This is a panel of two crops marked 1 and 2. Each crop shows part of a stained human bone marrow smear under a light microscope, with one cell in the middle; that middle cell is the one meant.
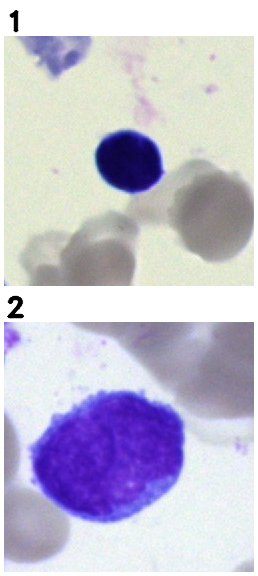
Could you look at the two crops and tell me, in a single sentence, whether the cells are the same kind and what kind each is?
No: a lymphocyte sits in crop 1, and a blast sits in crop 2.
